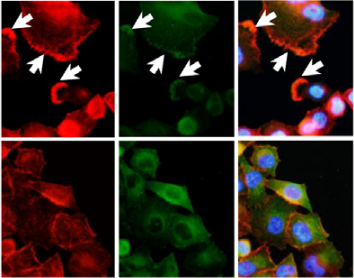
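In the upper row several cells push out broad, flat sheets of cytoplasm at their free margins, and these edges carry a bright red rim. In the merged view each cell has a round blue nucleus surrounded by cytoplasm. In the lower row the cell edges look smoother, without the bright red rims at the margins.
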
